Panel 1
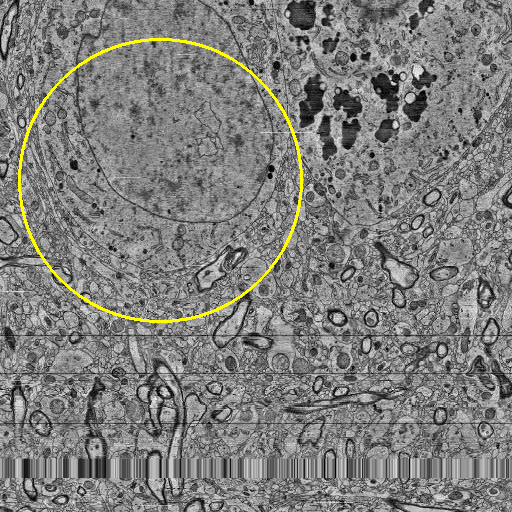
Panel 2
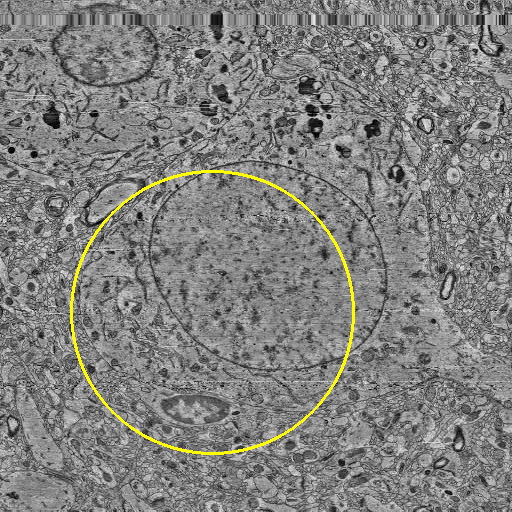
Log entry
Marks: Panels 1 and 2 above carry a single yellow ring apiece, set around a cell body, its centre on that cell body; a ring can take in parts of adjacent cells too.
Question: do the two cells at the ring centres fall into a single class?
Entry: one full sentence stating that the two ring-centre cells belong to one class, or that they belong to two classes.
The two ring-centre cells in Panels 1 and 2 belong to one class.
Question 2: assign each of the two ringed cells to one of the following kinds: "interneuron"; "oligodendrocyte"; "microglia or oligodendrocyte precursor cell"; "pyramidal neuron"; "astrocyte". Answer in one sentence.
Each of the two pictures has a pyramidal neuron at the ring centre.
